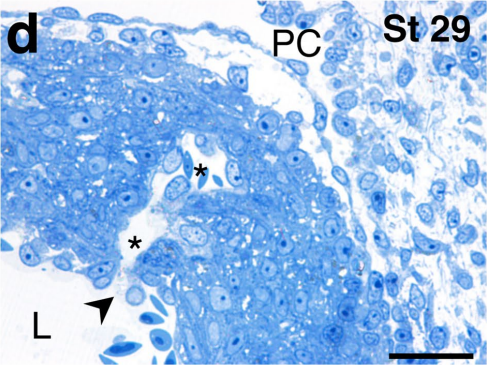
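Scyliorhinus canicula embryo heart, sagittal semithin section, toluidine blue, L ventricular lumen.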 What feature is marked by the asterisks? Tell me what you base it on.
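Small clear spaces marked by asterisks lie within the thick wall of packed cells. The spaces open toward the large clear lumen at lower left. That points to this answer: intramyocardial cavities.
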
